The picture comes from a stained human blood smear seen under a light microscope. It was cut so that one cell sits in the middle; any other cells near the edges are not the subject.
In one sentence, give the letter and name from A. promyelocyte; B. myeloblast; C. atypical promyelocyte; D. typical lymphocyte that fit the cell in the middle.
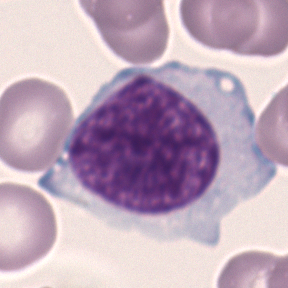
Option B is right in identifying the central cell as a myeloblast.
